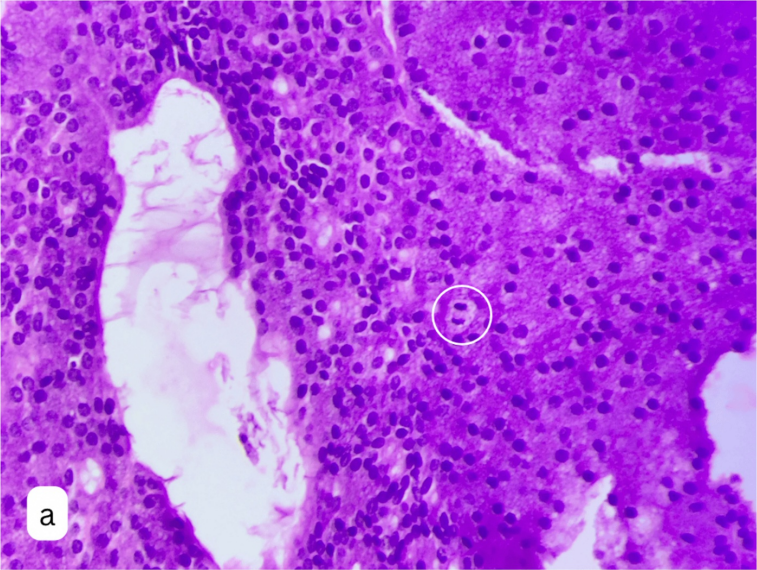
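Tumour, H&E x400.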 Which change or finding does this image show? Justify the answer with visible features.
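The nuclei are round to oval and darkly stained. On this evidence: monotonous nature of the cells with little pleomorphism.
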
